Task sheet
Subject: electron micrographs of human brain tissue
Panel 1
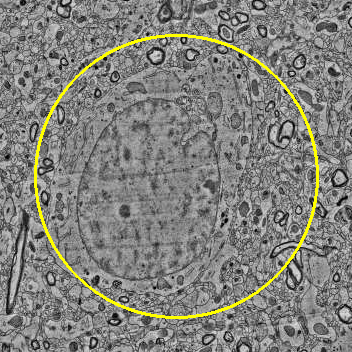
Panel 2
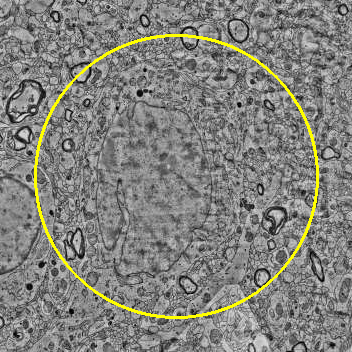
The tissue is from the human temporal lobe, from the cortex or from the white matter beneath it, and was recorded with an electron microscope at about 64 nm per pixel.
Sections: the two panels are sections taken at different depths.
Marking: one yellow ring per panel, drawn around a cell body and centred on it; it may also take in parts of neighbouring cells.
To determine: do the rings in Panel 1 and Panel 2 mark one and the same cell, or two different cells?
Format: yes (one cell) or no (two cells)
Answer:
no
